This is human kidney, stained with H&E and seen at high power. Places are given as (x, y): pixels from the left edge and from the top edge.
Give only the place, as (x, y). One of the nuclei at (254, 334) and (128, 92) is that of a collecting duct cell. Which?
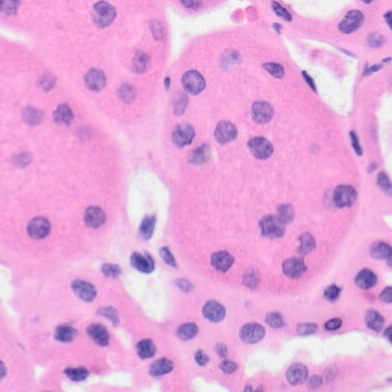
(254, 334)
